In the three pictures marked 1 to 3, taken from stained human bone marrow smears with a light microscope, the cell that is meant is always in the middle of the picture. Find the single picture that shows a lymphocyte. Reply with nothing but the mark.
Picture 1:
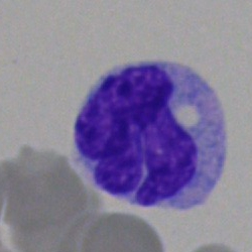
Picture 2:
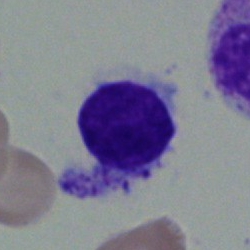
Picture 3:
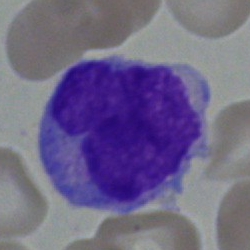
2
